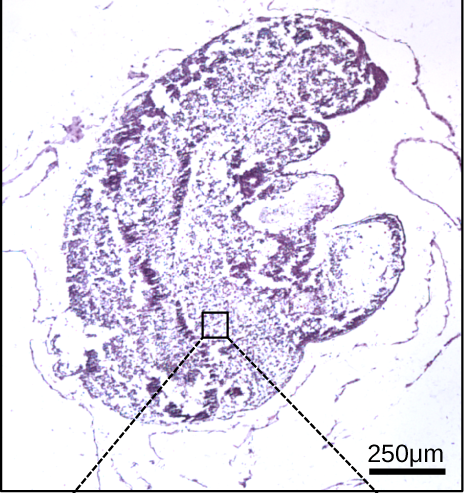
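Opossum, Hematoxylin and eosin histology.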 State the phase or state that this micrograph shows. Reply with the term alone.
Resorbed embryo remnants.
